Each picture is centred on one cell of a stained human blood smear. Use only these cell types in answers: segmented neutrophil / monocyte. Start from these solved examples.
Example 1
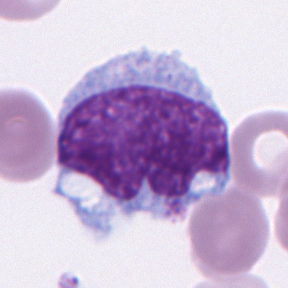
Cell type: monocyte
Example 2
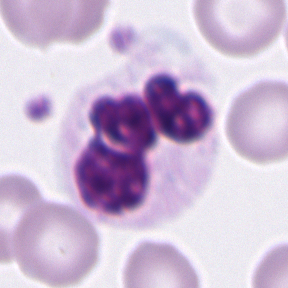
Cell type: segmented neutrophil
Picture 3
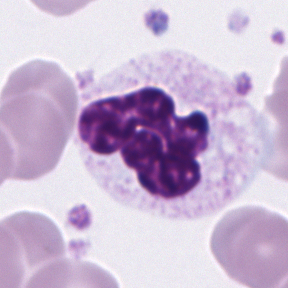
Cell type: segmented neutrophil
